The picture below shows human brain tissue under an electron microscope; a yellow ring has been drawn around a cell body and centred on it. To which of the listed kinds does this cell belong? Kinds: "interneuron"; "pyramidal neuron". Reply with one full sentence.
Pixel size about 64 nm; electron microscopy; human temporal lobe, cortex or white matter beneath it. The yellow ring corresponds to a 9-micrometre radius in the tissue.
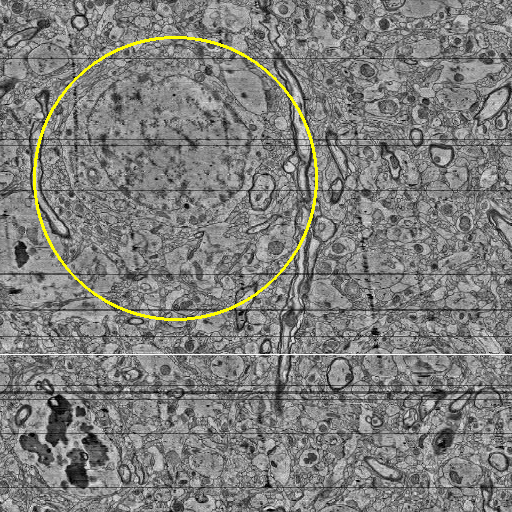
It is an interneuron that the yellow ring in the picture is centred on.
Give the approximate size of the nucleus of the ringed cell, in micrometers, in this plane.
In this plane, about 11 micrometres in length and 9 in width.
